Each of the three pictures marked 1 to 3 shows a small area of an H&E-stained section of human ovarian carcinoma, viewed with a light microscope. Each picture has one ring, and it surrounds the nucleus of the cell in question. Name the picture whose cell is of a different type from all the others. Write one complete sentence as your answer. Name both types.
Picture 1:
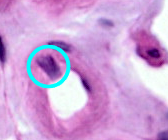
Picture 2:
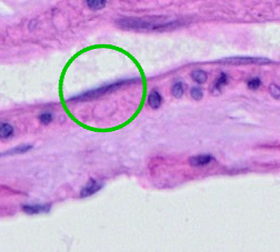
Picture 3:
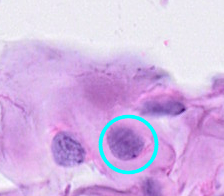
All pictures except 3 show endothelial cells; picture 3 shows a fibroblast.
